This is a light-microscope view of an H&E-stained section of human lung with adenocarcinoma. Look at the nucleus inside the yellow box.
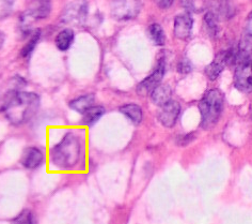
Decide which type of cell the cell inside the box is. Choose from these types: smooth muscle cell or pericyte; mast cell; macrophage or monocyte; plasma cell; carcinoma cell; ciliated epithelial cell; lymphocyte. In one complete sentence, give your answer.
By its classification, the cell inside the box is a ciliated epithelial cell.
